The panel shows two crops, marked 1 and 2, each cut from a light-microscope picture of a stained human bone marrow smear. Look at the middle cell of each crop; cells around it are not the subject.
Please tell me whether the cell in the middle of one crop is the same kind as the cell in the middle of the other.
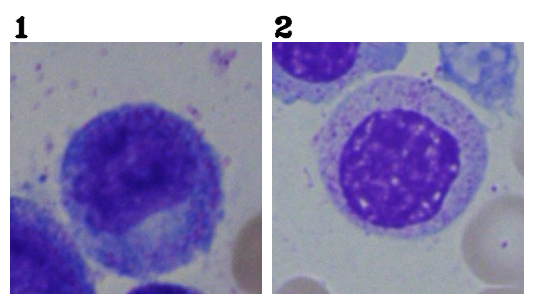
yes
